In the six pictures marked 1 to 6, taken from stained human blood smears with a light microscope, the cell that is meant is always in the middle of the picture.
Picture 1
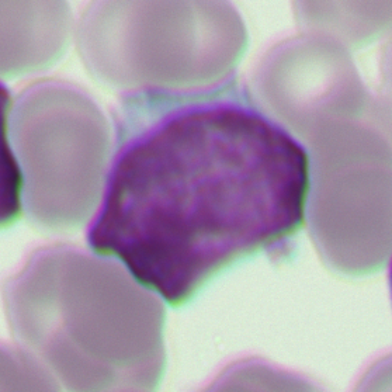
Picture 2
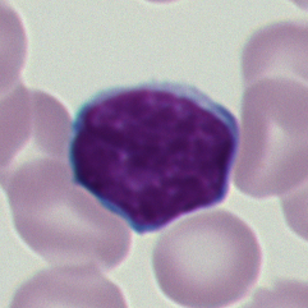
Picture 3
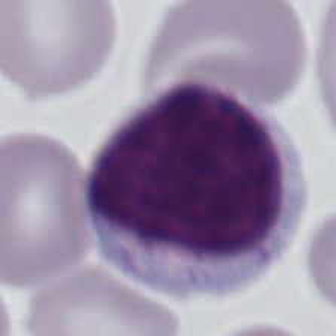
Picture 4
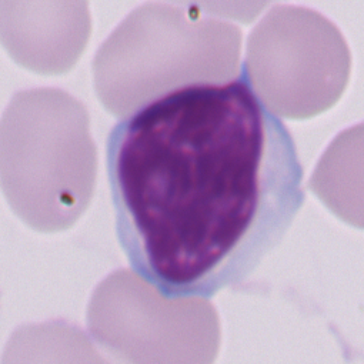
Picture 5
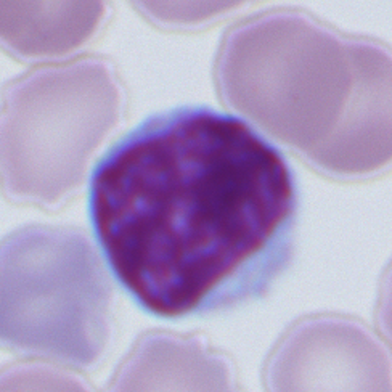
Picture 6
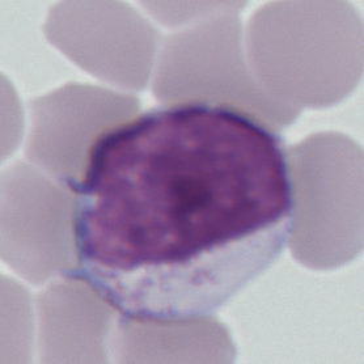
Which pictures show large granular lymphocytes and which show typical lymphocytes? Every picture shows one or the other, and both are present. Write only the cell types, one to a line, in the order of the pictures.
typical lymphocyte
typical lymphocyte
large granular lymphocyte
typical lymphocyte
typical lymphocyte
large granular lymphocyte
